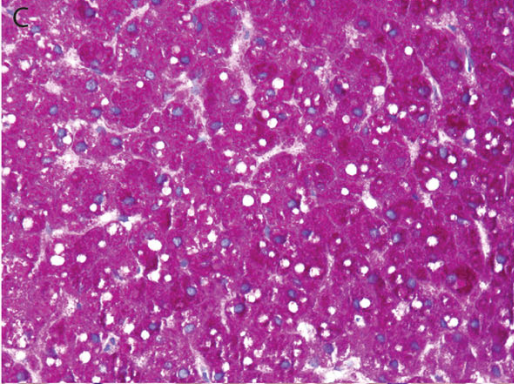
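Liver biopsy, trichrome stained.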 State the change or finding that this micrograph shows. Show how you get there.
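Many small round clear vacuoles lie within hepatocyte cytoplasm. Nuclei are not pushed aside by the vacuoles. So: microvesicular steatosis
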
